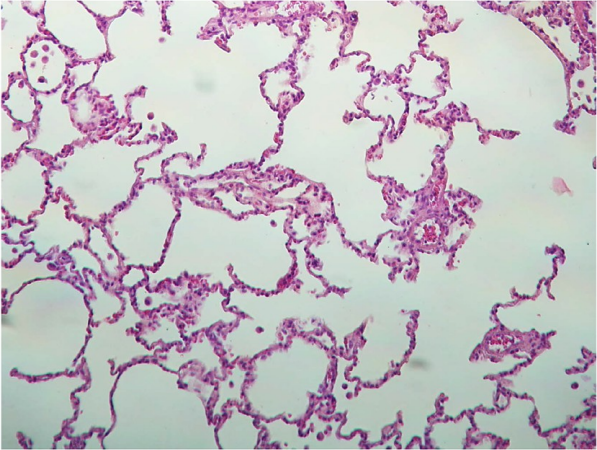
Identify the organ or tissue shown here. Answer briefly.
lung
